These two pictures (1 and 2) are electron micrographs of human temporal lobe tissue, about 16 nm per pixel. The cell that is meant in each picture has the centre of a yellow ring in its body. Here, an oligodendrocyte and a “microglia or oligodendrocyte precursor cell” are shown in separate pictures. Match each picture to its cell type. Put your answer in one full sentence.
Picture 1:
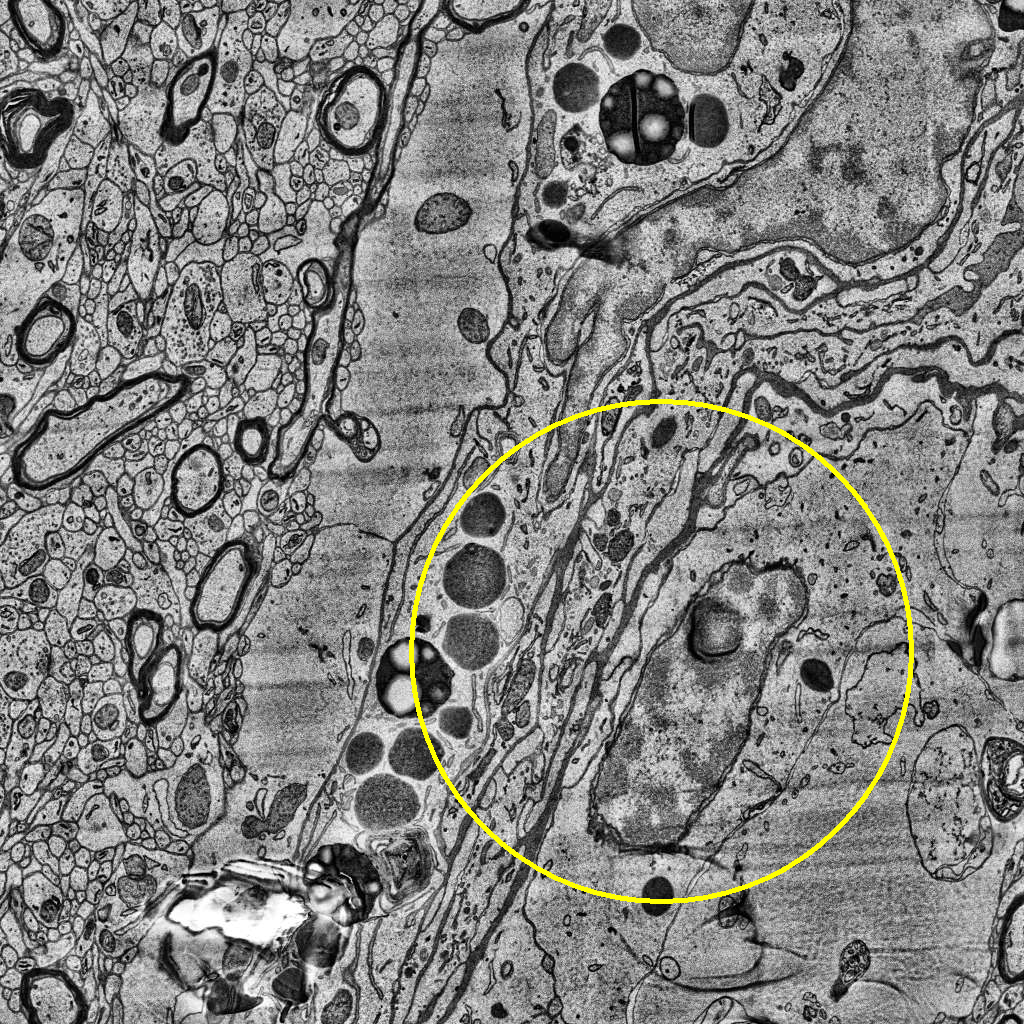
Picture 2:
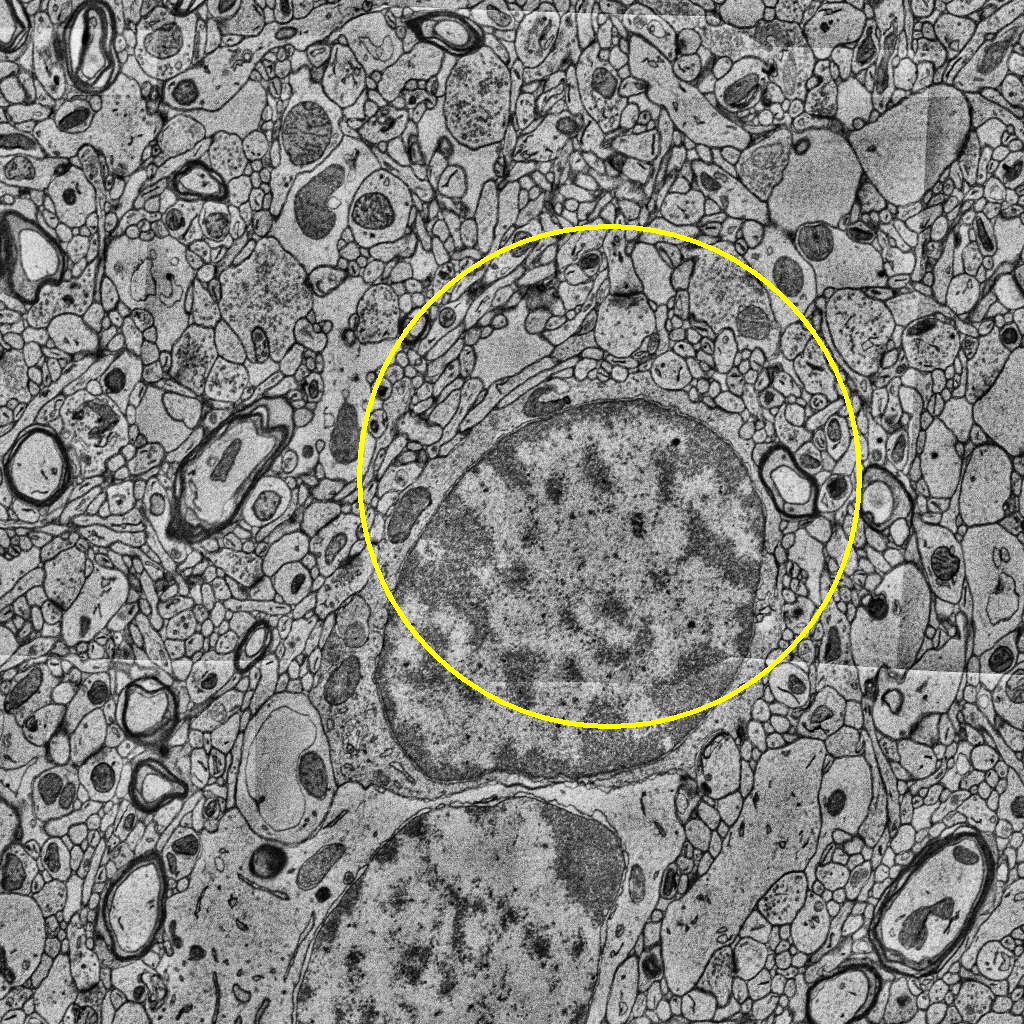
In picture 1 the cell is a “microglia or oligodendrocyte precursor cell”; in picture 2, an oligodendrocyte.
